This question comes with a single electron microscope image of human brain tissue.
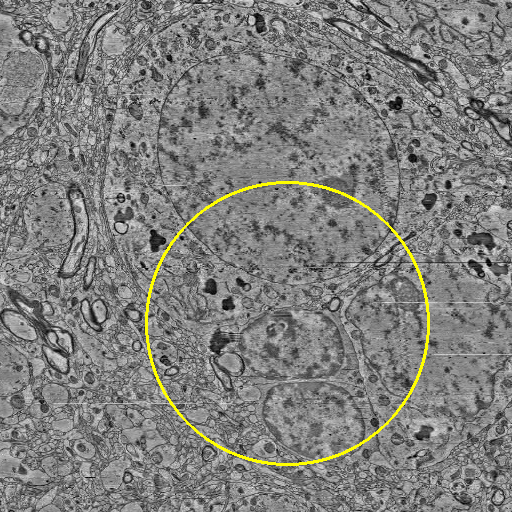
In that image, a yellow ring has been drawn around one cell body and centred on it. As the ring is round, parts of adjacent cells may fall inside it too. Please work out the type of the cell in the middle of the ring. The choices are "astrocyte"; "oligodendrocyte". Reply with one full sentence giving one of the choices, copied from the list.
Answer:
Of the choices, an oligodendrocyte is the cell sitting in the middle of the ring.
